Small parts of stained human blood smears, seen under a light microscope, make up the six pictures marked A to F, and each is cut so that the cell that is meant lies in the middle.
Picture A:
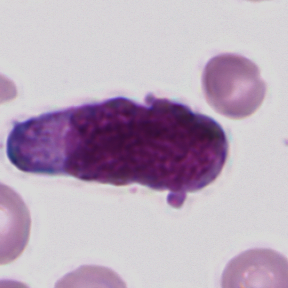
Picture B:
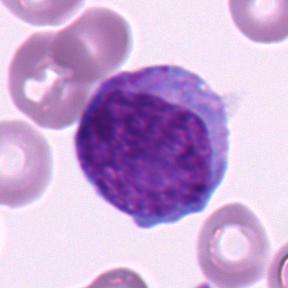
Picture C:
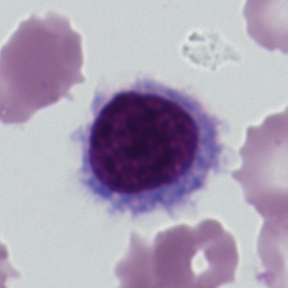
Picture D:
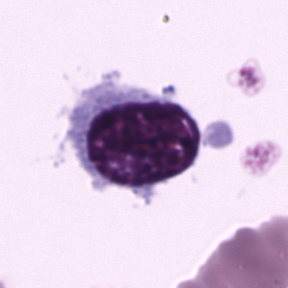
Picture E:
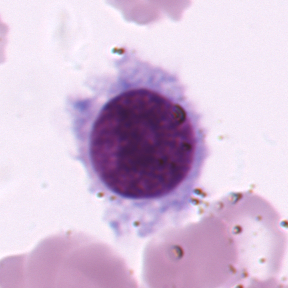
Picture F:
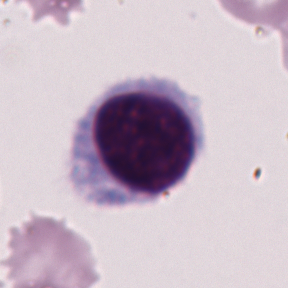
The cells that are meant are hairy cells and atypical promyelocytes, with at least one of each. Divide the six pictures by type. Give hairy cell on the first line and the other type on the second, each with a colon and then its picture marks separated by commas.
hairy cell: C, D, E, F
atypical promyelocyte: A, B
